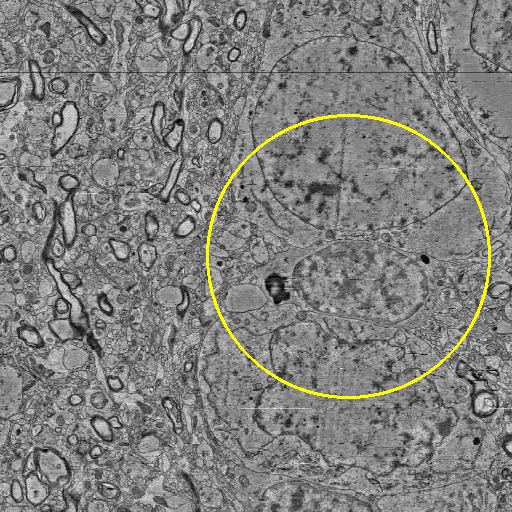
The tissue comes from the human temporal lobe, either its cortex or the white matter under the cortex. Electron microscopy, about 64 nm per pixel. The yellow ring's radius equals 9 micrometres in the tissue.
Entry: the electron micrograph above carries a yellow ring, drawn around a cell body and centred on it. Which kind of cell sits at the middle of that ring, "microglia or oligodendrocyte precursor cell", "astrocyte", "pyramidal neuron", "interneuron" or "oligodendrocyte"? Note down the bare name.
oligodendrocyte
